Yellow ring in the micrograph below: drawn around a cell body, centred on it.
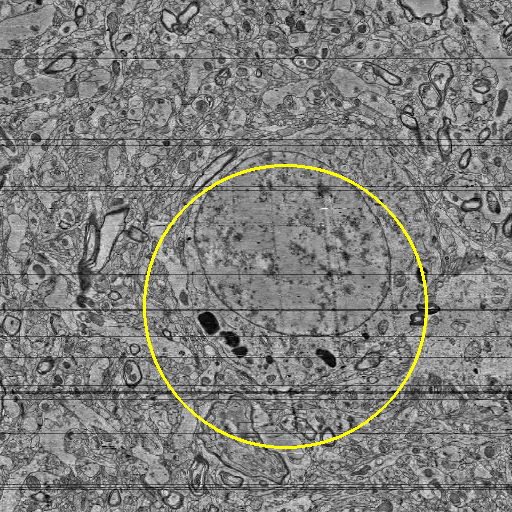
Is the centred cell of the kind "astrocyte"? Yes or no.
no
